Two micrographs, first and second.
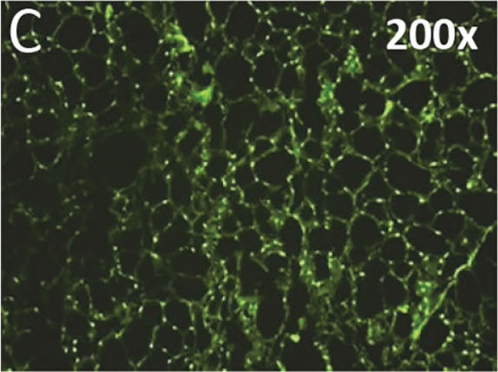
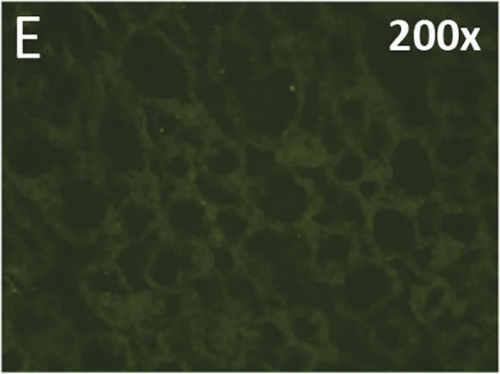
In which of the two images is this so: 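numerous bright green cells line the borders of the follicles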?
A: The first image.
